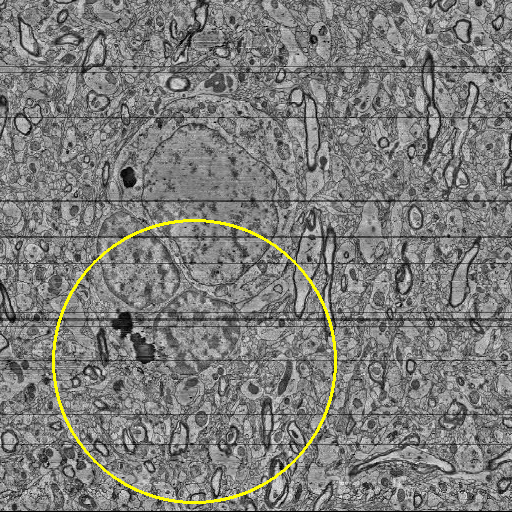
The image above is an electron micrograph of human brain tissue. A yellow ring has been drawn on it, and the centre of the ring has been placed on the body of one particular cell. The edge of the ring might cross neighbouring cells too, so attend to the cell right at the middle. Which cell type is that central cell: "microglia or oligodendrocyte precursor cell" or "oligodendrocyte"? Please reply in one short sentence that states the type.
The central cell in the ring is an oligodendrocyte.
